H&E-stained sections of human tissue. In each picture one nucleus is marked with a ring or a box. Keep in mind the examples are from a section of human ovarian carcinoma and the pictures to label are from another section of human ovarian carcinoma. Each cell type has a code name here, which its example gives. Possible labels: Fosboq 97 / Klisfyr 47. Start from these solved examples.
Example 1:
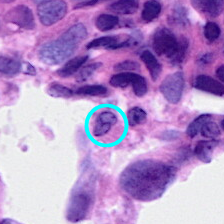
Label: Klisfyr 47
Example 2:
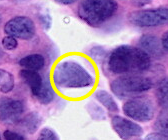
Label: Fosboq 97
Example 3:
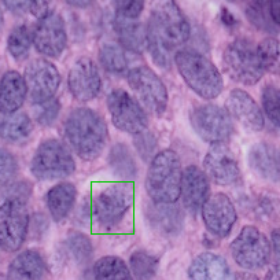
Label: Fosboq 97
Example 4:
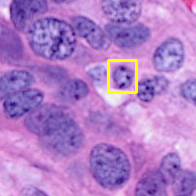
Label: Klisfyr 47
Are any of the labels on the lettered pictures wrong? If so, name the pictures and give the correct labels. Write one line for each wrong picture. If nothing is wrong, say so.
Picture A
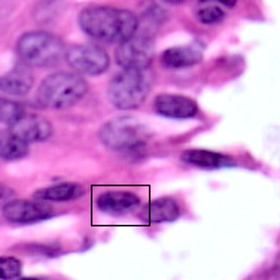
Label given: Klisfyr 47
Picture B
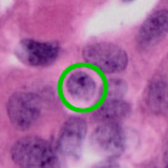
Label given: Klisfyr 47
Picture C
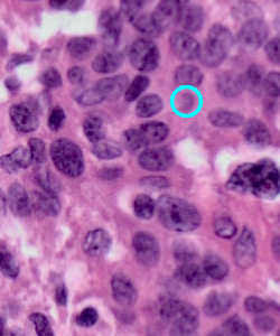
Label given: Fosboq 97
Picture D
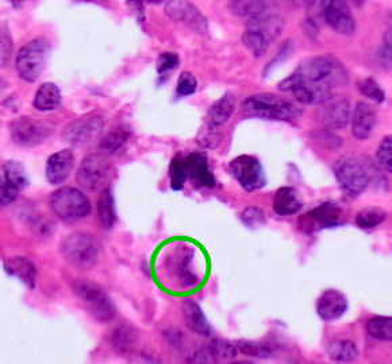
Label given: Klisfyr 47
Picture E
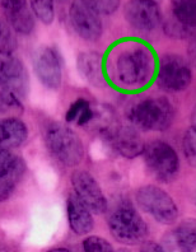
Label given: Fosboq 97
All labels are correct.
